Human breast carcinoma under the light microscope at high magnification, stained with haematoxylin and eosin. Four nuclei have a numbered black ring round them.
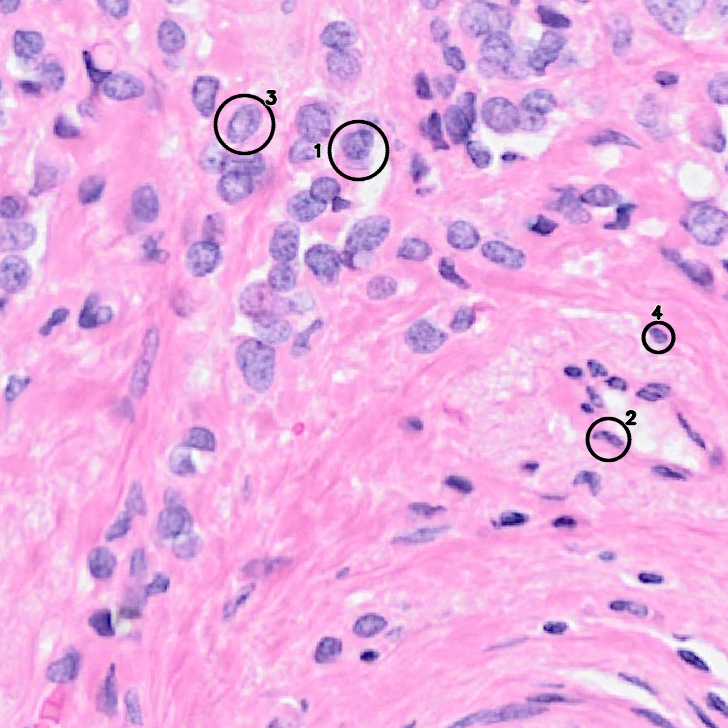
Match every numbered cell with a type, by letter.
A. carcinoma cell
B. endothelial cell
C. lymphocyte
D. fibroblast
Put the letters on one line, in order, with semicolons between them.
A; B; A; C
